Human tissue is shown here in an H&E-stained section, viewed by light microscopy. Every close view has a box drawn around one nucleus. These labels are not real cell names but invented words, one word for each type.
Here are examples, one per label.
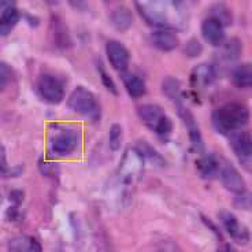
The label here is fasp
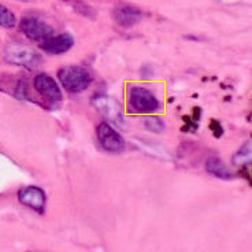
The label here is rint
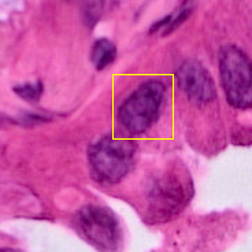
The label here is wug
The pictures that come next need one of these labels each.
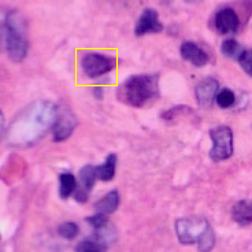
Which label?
rint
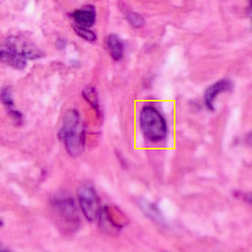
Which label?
rint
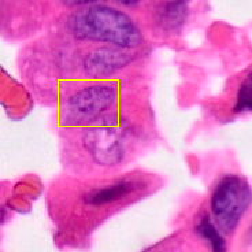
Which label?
wug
